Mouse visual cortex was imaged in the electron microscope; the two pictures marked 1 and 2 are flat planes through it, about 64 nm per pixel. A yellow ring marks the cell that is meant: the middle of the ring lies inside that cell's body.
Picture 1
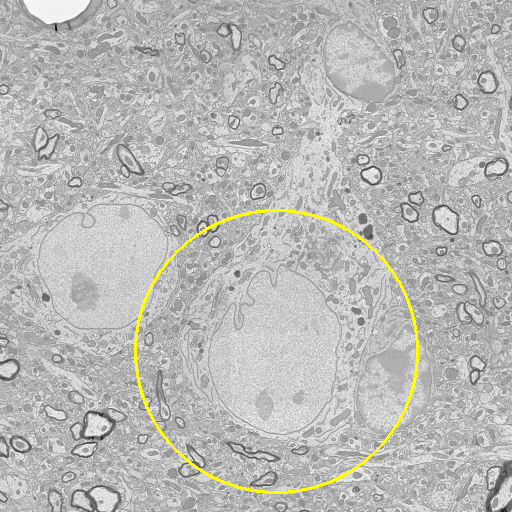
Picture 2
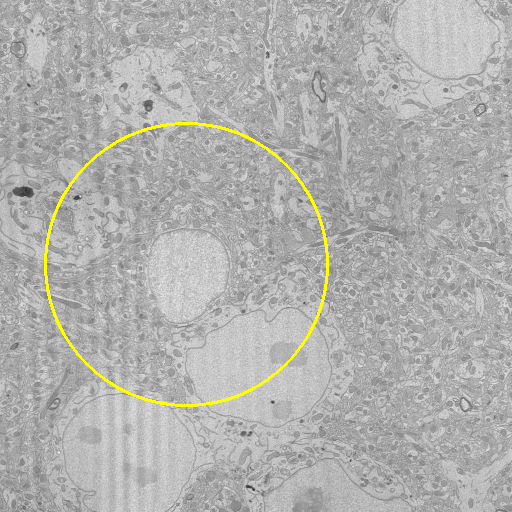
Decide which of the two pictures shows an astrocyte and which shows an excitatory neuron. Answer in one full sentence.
Picture 1 is of an excitatory neuron, and picture 2 is of an astrocyte.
